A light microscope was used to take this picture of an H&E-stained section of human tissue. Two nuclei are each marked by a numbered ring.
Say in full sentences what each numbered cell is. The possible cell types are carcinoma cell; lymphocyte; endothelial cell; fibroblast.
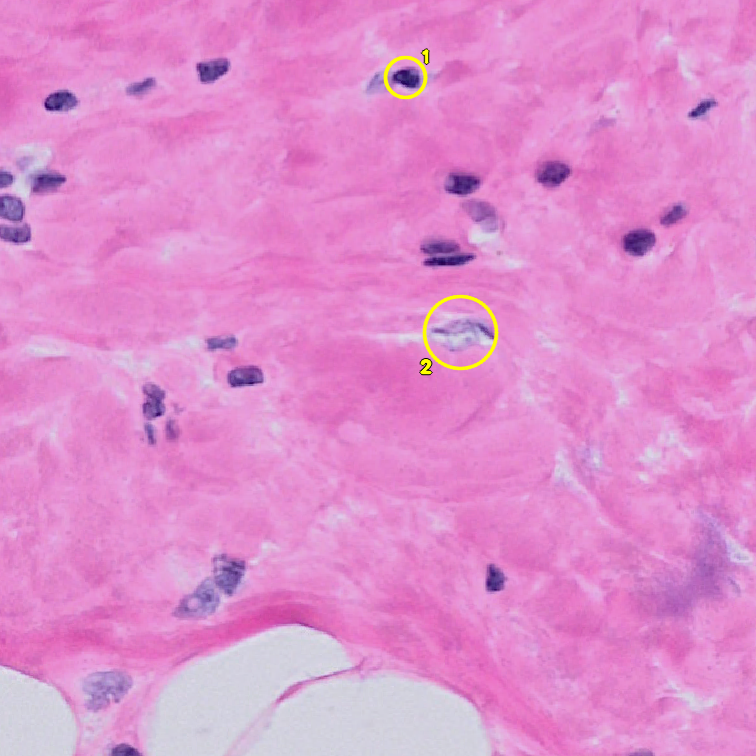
Cell 1 is a lymphocyte and cell 2 is a fibroblast.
